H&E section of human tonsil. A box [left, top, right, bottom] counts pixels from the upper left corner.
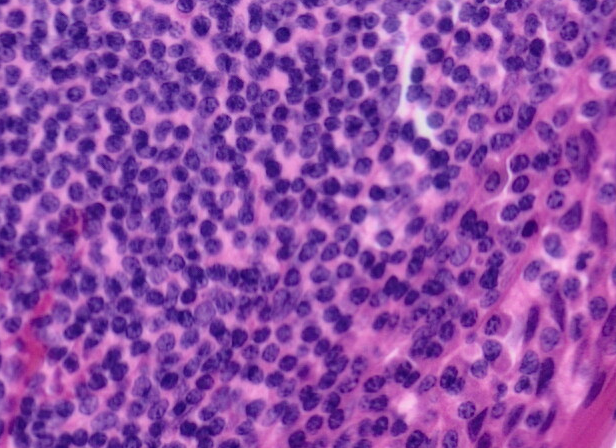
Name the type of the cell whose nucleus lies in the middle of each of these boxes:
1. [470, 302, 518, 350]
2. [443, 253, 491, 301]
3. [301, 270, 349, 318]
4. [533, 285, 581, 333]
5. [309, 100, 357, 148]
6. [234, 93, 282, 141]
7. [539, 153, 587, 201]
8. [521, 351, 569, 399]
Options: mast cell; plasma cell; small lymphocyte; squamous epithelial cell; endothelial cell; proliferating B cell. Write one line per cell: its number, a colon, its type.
1: plasma cell
2: plasma cell
3: small lymphocyte
4: squamous epithelial cell
5: small lymphocyte
6: small lymphocyte
7: plasma cell
8: squamous epithelial cell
